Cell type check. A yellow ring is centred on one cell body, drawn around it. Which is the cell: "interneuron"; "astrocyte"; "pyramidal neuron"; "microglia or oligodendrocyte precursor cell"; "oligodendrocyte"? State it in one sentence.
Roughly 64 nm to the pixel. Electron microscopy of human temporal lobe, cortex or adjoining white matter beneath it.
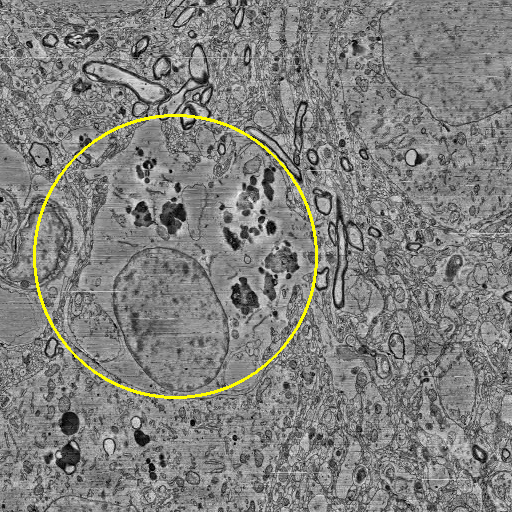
The cell body at the ring's centre belongs to an astrocyte.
